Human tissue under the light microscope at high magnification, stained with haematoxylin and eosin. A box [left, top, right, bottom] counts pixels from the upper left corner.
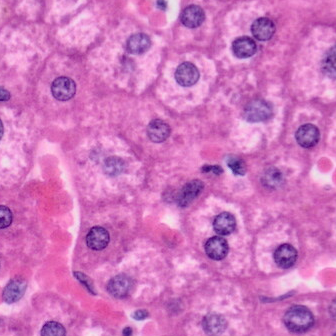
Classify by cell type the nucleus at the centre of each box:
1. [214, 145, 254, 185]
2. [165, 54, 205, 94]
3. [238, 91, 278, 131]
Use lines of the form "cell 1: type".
cell 1: endothelial cell
cell 2: hepatocyte
cell 3: hepatocyte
